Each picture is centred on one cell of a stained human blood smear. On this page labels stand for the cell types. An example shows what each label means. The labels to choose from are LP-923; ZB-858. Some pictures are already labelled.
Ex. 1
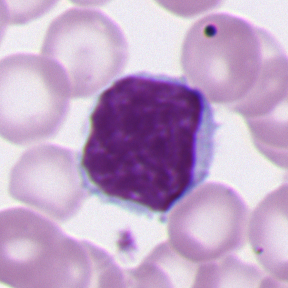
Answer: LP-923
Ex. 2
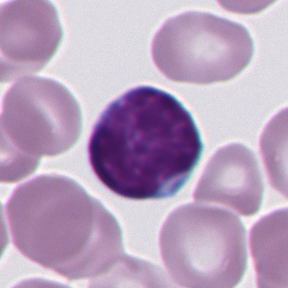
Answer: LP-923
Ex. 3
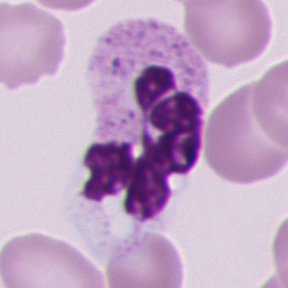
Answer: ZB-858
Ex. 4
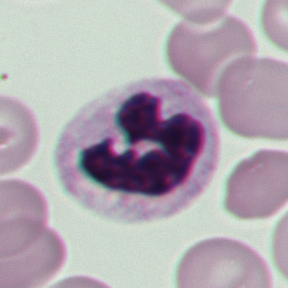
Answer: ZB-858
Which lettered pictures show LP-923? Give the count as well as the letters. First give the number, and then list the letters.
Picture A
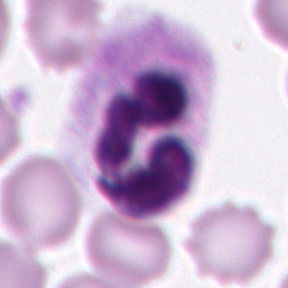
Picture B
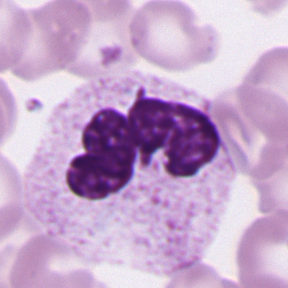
0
